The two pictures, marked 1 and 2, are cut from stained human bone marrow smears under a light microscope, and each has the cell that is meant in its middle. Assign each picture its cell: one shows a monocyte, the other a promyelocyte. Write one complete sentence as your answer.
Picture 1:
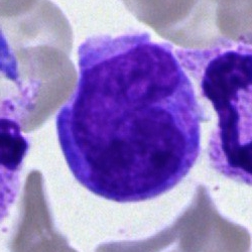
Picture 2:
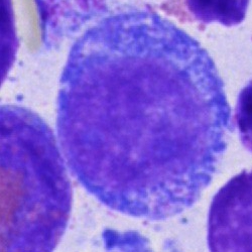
Picture 1 shows a monocyte and picture 2 shows a promyelocyte.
